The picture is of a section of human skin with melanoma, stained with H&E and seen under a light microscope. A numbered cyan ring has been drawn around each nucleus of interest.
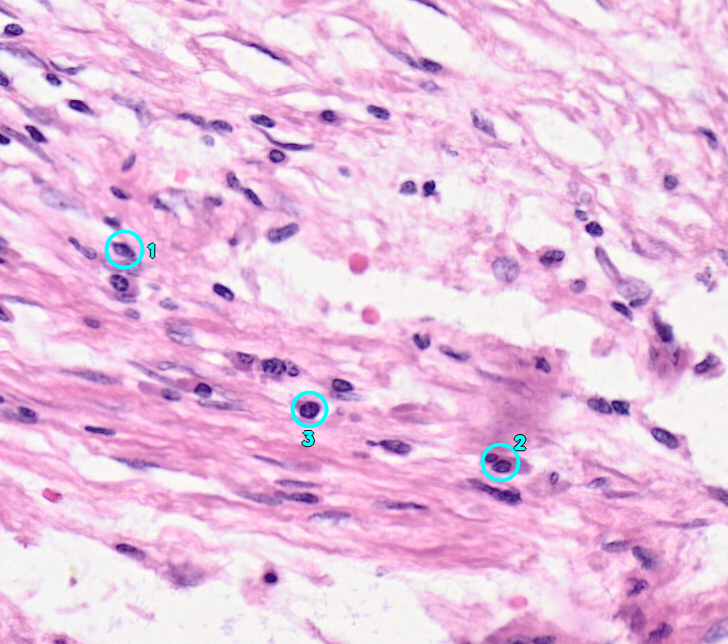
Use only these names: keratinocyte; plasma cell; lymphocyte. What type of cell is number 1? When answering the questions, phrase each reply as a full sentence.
Of the numbered cells, the one labelled 1 is a lymphocyte.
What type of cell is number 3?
The numbered cell 3 in this field is a plasma cell.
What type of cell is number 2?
Heads up, the cell numbered 2 is a plasma cell.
